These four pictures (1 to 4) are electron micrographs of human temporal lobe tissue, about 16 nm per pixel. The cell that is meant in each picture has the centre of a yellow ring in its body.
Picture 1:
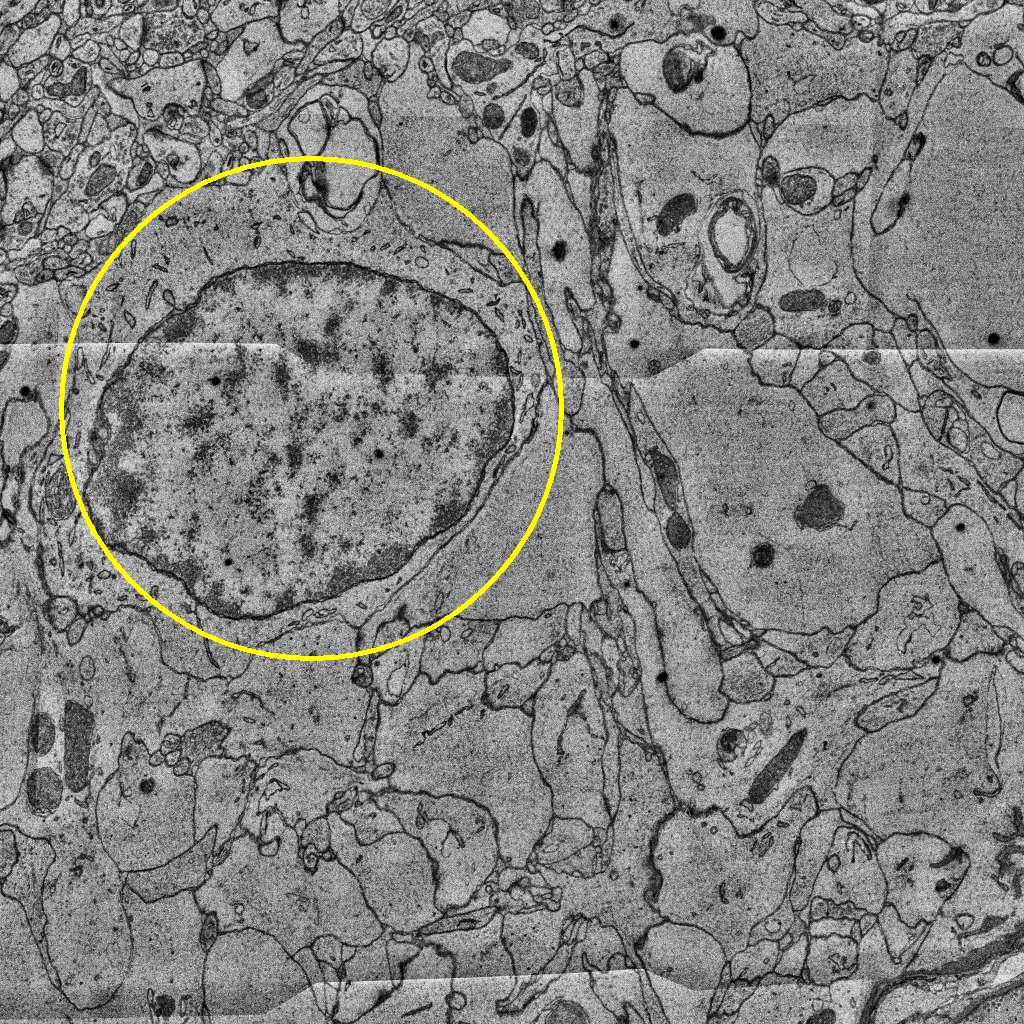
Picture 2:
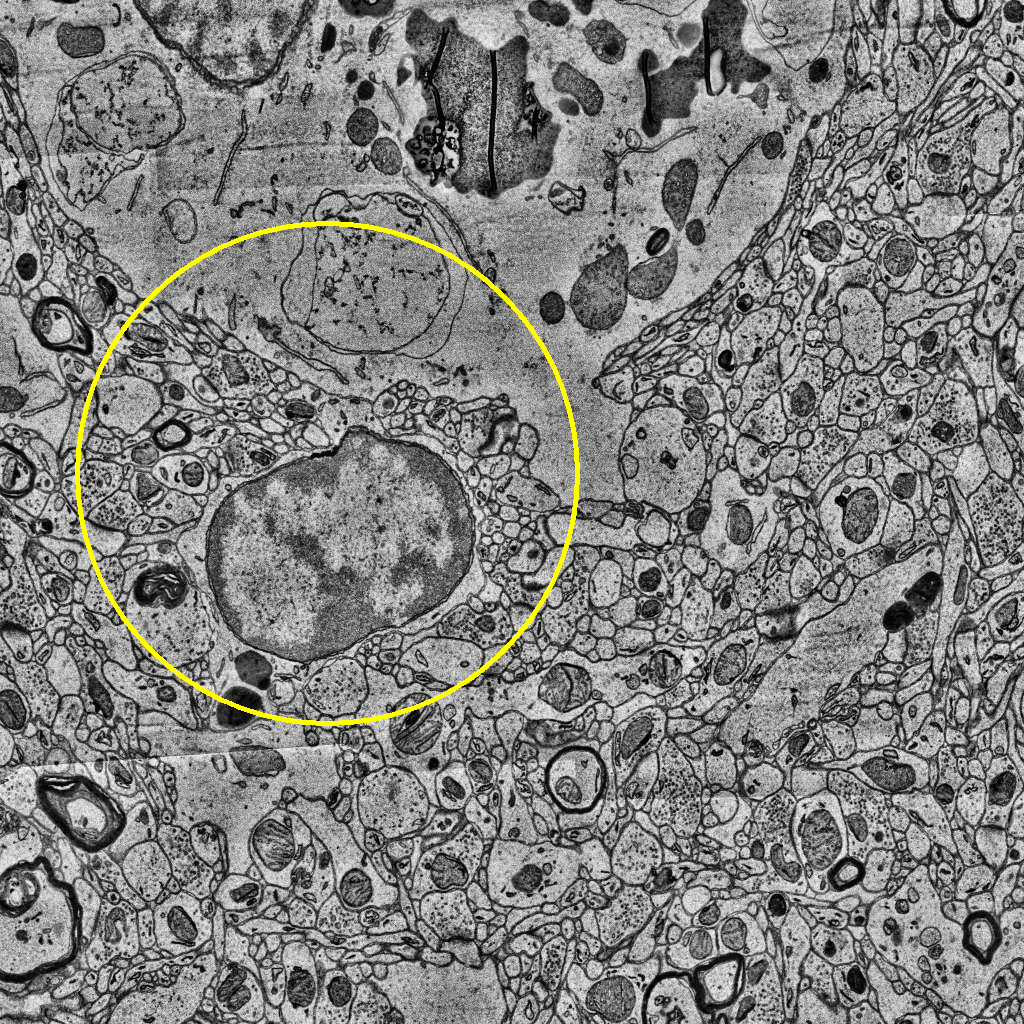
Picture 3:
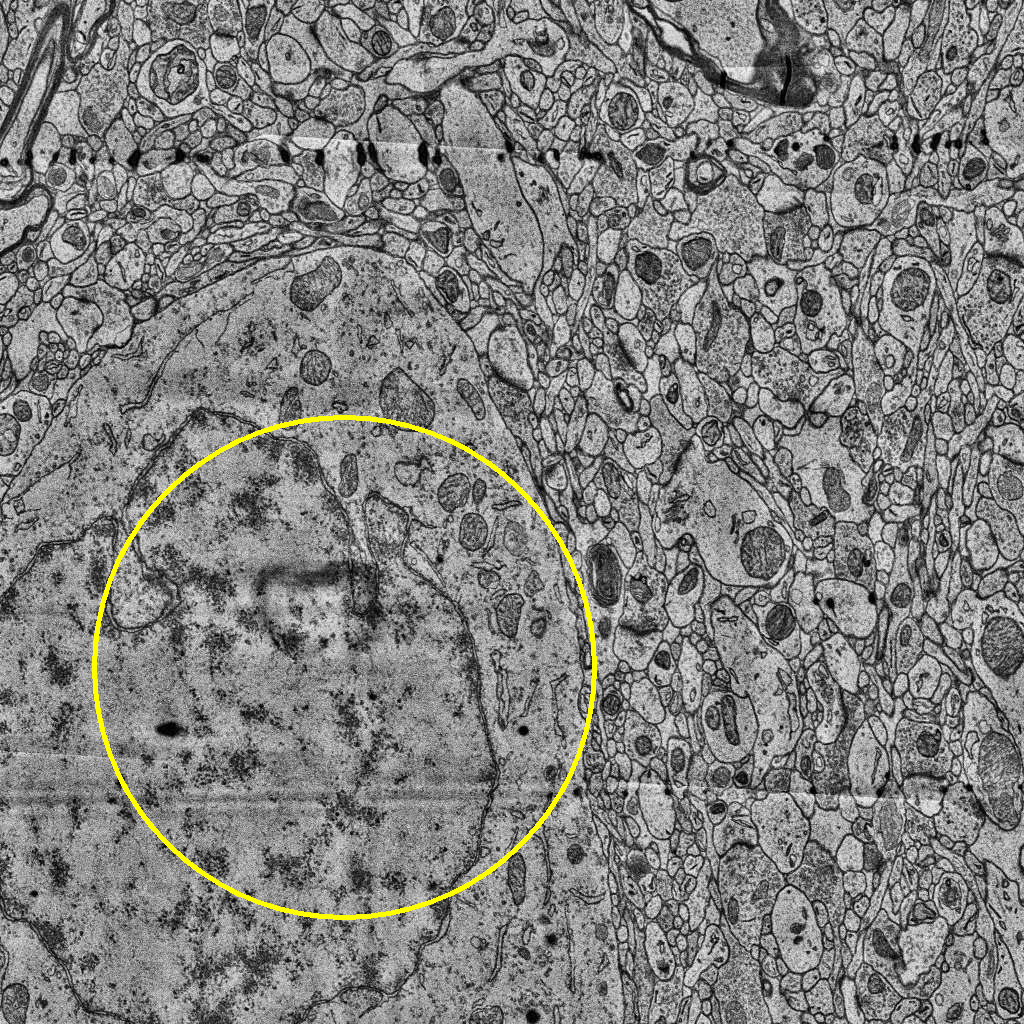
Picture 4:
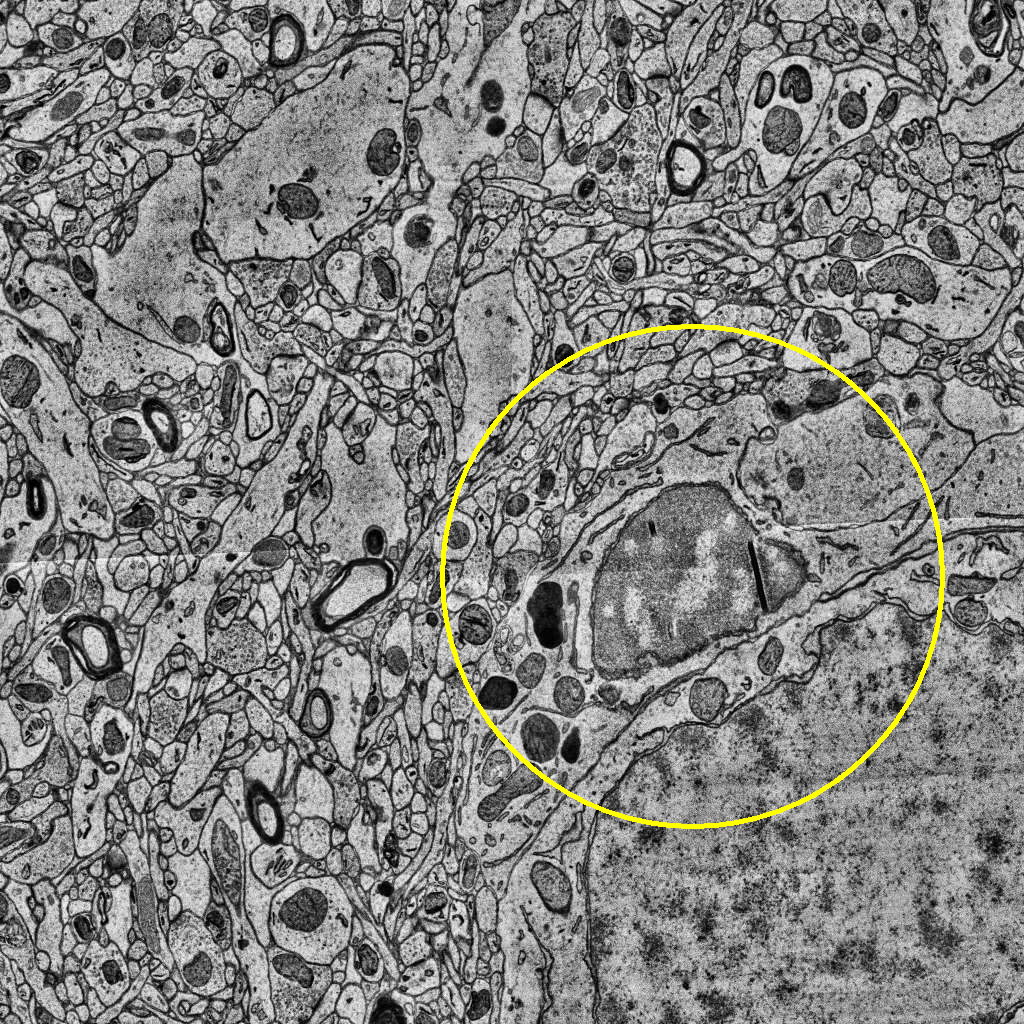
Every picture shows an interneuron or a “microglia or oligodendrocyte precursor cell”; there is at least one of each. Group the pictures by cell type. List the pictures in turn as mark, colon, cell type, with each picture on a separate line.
1: microglia or oligodendrocyte precursor cell
2: microglia or oligodendrocyte precursor cell
3: interneuron
4: microglia or oligodendrocyte precursor cell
